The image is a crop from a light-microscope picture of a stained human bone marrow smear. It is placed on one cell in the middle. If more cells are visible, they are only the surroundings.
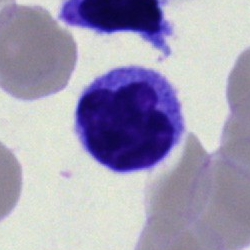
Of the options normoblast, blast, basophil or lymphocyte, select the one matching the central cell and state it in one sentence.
The middle of this crop holds a lymphocyte.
